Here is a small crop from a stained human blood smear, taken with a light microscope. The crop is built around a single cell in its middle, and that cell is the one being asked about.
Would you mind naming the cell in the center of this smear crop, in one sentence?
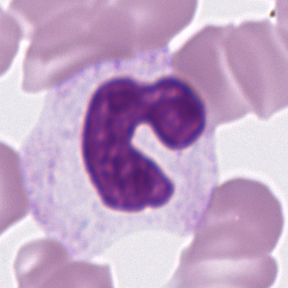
Where the crop is centred, there is a band neutrophil.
